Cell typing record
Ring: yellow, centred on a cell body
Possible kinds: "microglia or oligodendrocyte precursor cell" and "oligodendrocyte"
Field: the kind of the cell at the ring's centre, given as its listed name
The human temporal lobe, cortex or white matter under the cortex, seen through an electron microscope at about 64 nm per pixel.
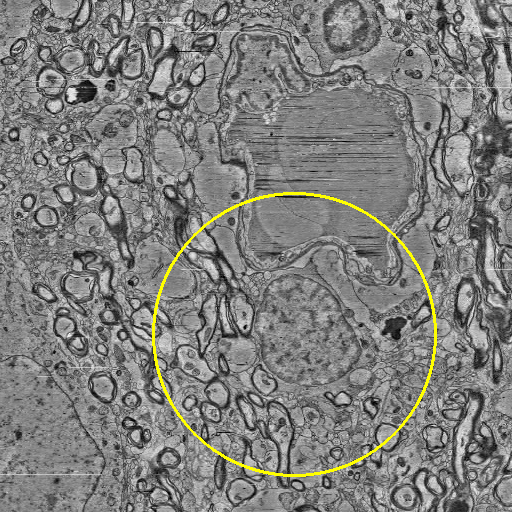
oligodendrocyte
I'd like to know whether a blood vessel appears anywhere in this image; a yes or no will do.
Yes, a vessel shows somewhere in the image.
